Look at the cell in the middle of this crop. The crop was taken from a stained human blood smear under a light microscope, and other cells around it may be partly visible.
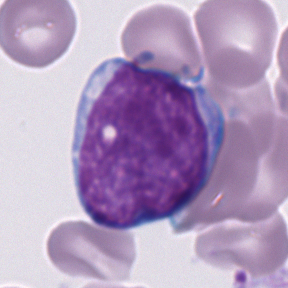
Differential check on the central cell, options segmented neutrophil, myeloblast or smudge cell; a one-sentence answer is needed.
The cell occupying the middle of the crop is a myeloblast.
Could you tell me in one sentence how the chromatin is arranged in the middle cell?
The chromatin is delicate and fine, lacking coarse clumping entirely.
